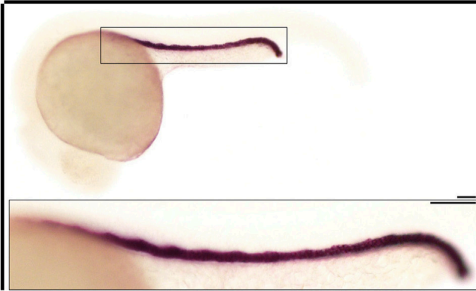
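The band runs from just behind the yolk ball along the top of the yolk extension toward the tail. In the enlarged inset the tubule is a continuous, narrow tube of even width that bends downward and thickens at its hind end. The rest of the embryo is unstained and pale.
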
